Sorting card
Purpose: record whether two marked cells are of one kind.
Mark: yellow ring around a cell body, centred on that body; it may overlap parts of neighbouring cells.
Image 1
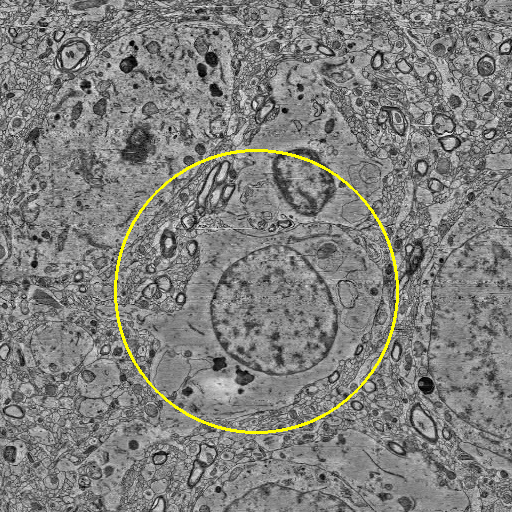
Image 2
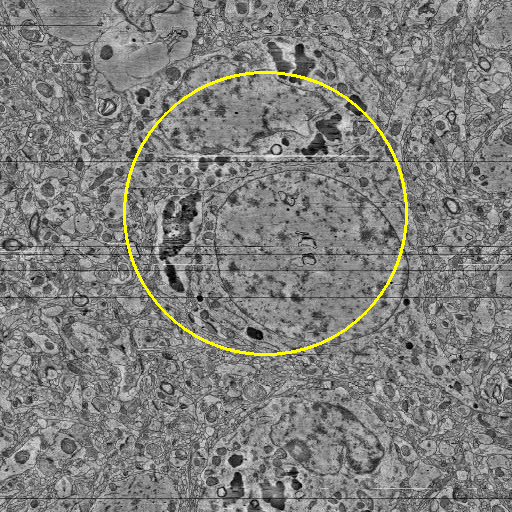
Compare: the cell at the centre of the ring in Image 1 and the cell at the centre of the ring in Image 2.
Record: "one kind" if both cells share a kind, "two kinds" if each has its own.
two kinds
